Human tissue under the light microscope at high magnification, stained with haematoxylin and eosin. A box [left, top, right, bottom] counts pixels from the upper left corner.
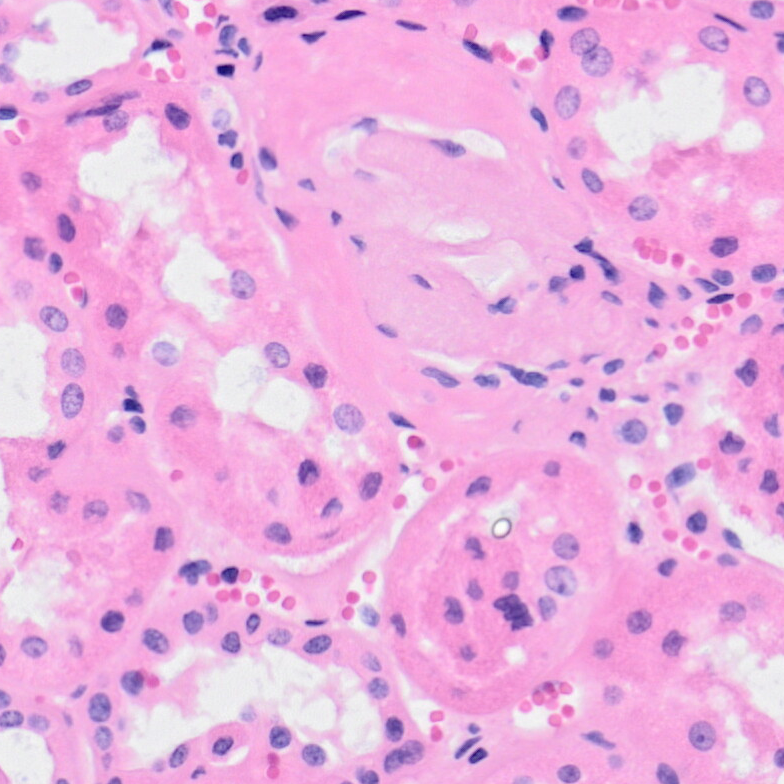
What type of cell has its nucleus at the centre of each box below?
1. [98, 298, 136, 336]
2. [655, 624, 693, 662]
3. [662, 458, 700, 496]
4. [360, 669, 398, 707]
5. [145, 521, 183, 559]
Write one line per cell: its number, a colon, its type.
1: proximal tubule cell
2: proximal tubule cell
3: endothelial cell
4: collecting duct cell
5: proximal tubule cell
